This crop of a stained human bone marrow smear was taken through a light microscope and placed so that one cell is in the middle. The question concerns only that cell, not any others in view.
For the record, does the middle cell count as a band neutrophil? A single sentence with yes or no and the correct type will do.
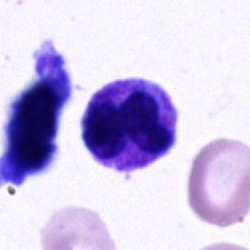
No, this is not a band neutrophil at all; the cell in the middle is a segmented neutrophil.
